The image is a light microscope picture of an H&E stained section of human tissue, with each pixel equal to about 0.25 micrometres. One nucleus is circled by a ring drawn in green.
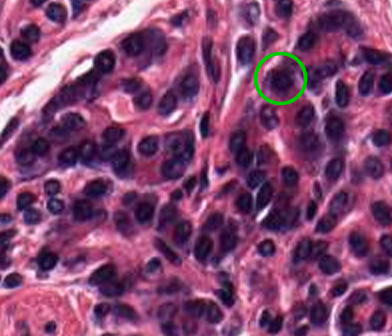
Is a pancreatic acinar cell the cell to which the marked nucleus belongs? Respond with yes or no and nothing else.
yes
